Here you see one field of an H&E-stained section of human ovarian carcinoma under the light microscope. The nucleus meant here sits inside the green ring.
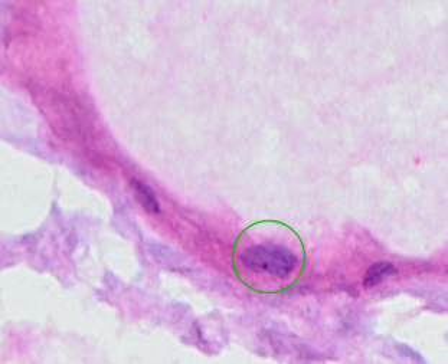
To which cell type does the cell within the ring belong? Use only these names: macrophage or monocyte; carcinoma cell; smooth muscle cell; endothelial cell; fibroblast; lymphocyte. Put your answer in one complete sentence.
This is an endothelial cell.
